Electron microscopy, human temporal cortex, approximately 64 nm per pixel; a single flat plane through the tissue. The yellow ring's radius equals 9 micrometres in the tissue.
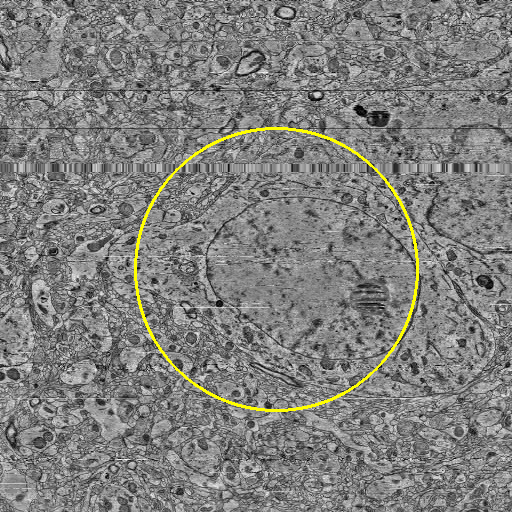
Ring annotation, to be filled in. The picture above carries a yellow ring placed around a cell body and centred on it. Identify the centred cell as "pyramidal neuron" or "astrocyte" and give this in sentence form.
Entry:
The cell in the middle of the ring is a pyramidal neuron.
